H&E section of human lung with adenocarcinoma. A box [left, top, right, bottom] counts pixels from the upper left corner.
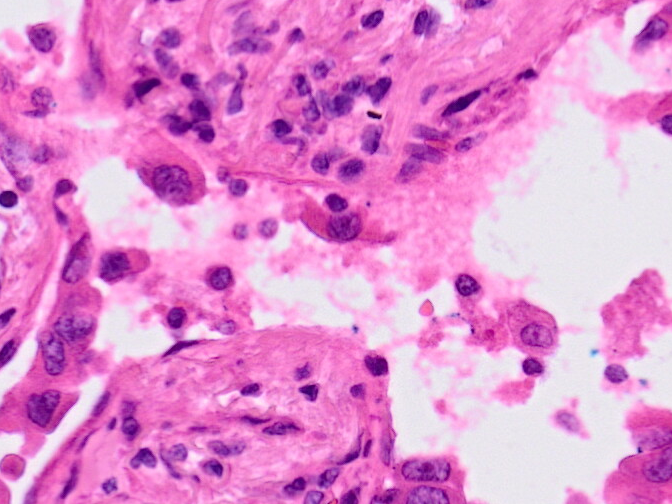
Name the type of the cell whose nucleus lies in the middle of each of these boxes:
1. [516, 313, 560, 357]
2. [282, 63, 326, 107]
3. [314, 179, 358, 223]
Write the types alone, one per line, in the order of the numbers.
macrophage or monocyte
plasma cell
lymphocyte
